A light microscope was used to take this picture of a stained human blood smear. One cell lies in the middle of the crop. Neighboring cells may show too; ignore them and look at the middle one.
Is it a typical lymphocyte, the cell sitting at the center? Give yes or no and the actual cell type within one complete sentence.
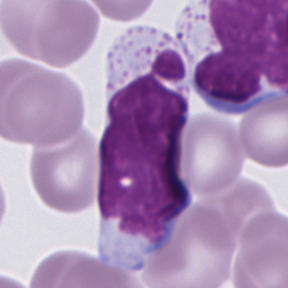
No, wrong label: the middle cell is a large granular lymphocyte instead of a typical lymphocyte.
